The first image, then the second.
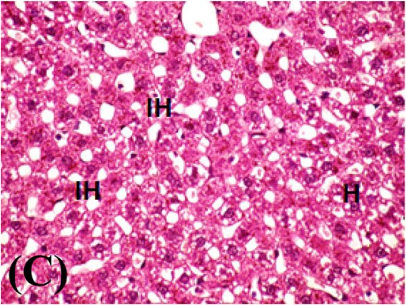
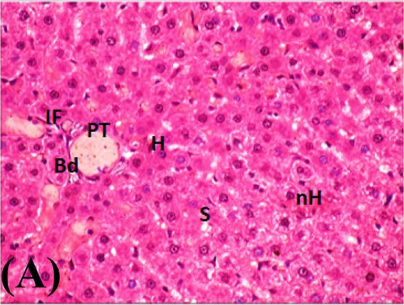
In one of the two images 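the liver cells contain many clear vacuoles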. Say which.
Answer: the first image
